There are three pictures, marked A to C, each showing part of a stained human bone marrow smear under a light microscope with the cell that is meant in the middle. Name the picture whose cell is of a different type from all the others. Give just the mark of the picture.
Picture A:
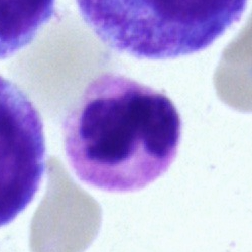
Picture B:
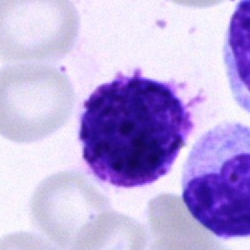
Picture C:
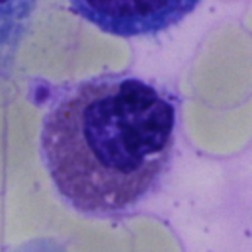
C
